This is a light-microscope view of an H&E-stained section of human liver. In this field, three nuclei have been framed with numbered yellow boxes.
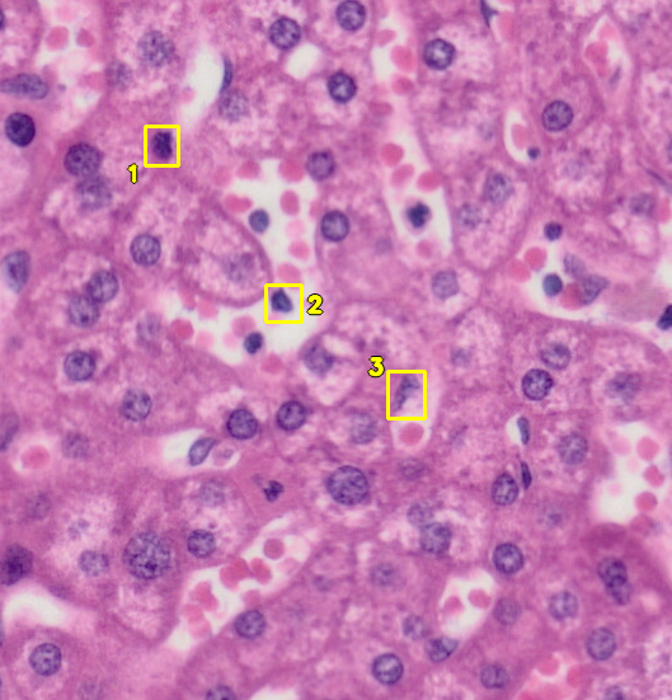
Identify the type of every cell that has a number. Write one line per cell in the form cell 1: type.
cell 1: fibroblast or stellate cell
cell 2: lymphocyte
cell 3: endothelial cell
